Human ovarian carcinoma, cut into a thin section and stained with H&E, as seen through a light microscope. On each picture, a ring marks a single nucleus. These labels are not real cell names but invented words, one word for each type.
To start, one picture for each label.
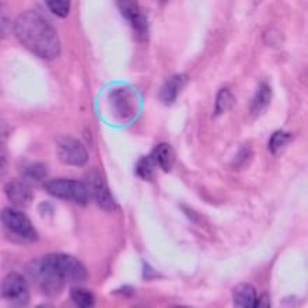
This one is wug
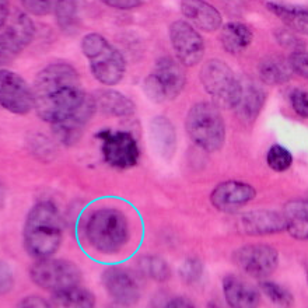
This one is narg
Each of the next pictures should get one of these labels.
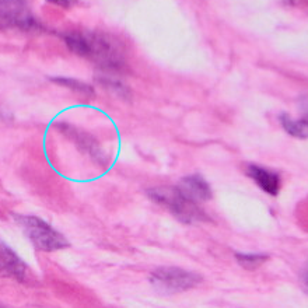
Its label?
wug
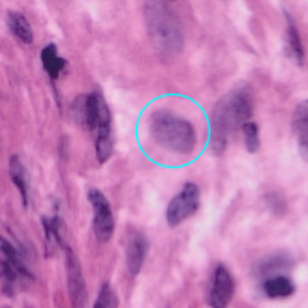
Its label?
wug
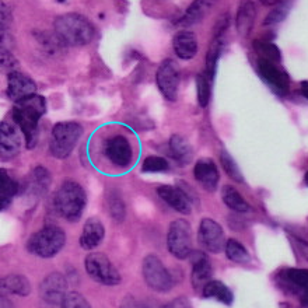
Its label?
narg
